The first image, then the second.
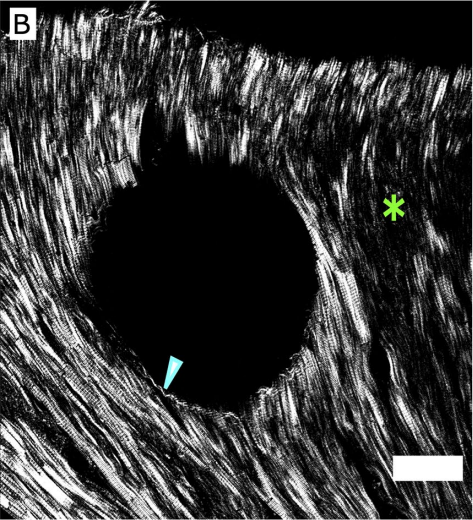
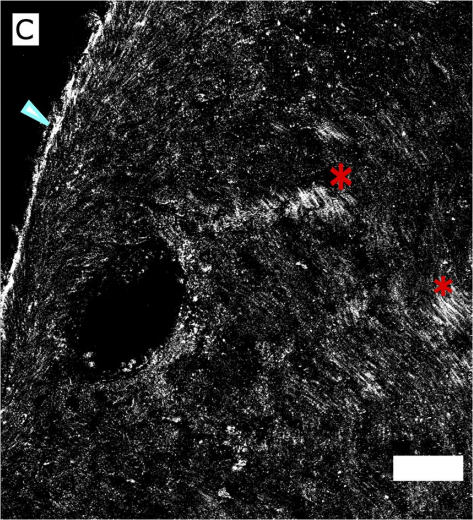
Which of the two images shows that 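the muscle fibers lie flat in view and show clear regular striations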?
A: the first image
